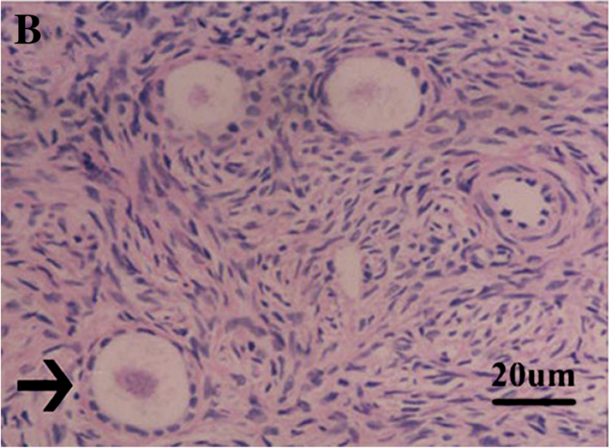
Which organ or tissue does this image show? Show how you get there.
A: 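Ovarian tissue. Dense stroma of wavy spindle-shaped cells. Round follicle-like structures with a large central cell ringed by small cells are scattered in the stroma.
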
